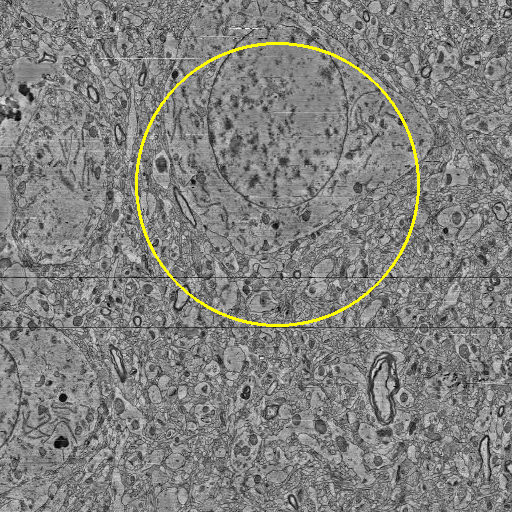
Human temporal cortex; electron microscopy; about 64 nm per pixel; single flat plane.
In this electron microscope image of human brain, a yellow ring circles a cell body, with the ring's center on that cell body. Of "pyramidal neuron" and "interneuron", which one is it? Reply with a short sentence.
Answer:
It is a pyramidal neuron at the center of the ring.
